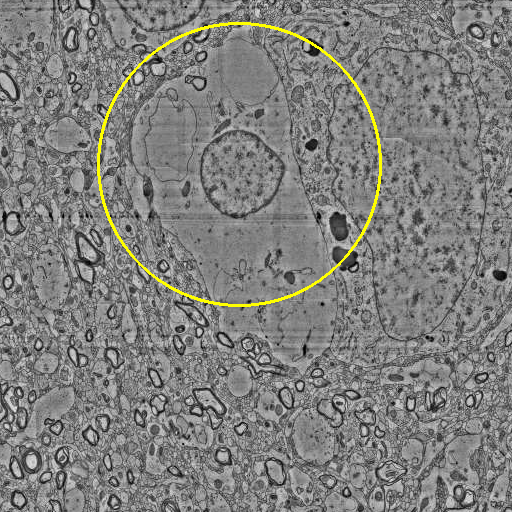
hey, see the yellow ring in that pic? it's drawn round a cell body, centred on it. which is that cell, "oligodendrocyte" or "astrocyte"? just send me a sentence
The cell in the ring is an astrocyte.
